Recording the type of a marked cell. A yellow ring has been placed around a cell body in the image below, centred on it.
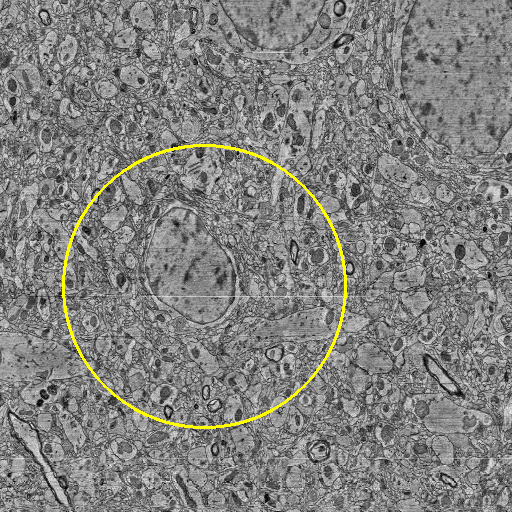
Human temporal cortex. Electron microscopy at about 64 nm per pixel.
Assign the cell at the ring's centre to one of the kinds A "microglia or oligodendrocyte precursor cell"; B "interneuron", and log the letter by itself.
A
